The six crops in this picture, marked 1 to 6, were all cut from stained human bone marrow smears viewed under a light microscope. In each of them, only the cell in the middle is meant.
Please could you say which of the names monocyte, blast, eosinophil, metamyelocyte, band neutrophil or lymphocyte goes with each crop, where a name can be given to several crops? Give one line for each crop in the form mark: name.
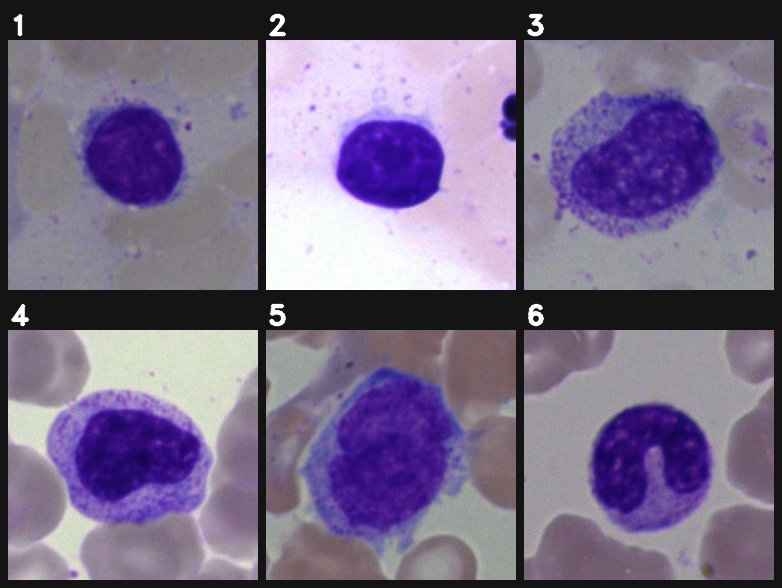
1: lymphocyte
2: lymphocyte
3: metamyelocyte
4: metamyelocyte
5: monocyte
6: band neutrophil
